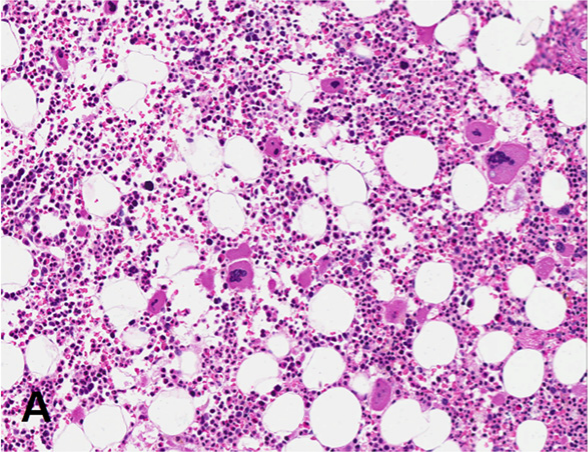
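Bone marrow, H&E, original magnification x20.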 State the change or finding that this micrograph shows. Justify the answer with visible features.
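Giant with stag-horn like nuclei. The largest cells are many times the size of the surrounding marrow cells. Their nuclei are dark and folded into several lobes.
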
